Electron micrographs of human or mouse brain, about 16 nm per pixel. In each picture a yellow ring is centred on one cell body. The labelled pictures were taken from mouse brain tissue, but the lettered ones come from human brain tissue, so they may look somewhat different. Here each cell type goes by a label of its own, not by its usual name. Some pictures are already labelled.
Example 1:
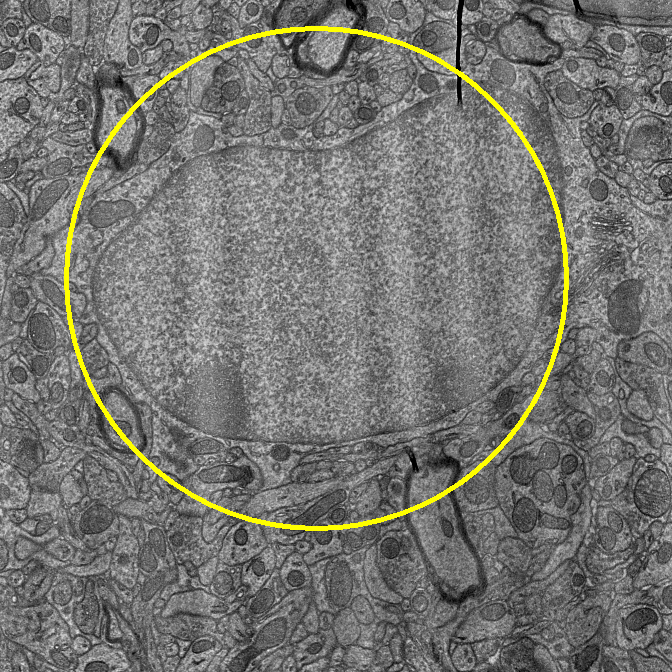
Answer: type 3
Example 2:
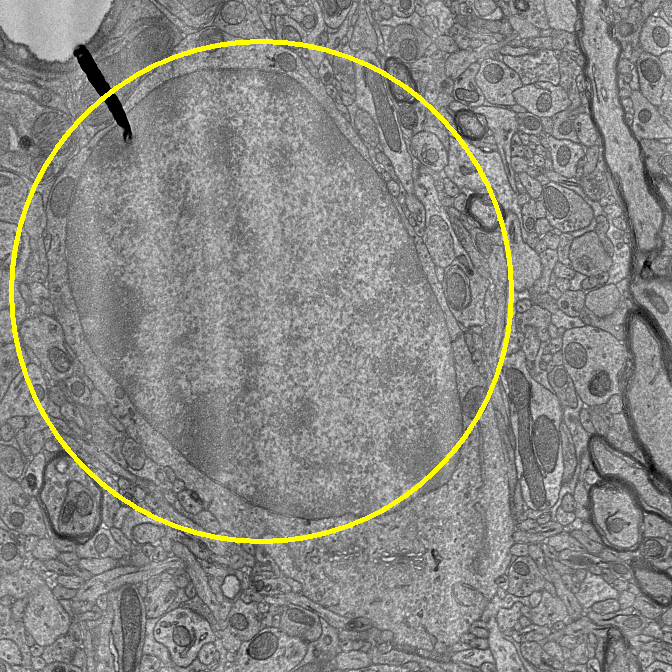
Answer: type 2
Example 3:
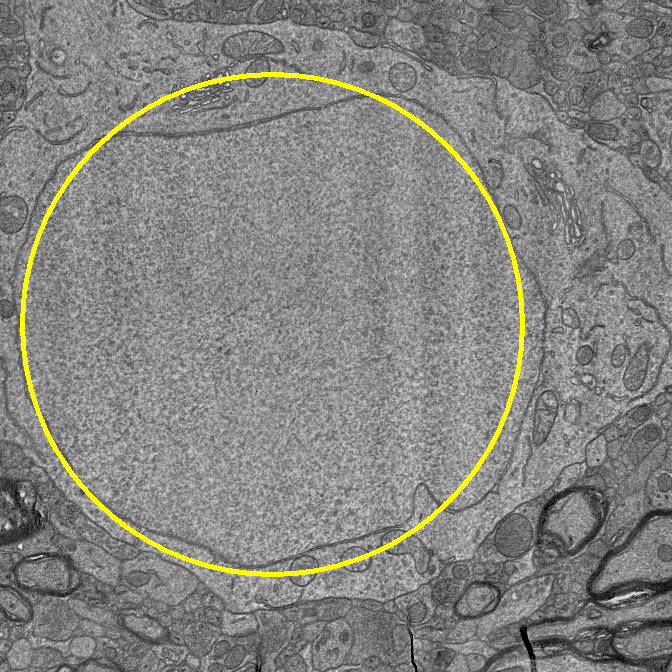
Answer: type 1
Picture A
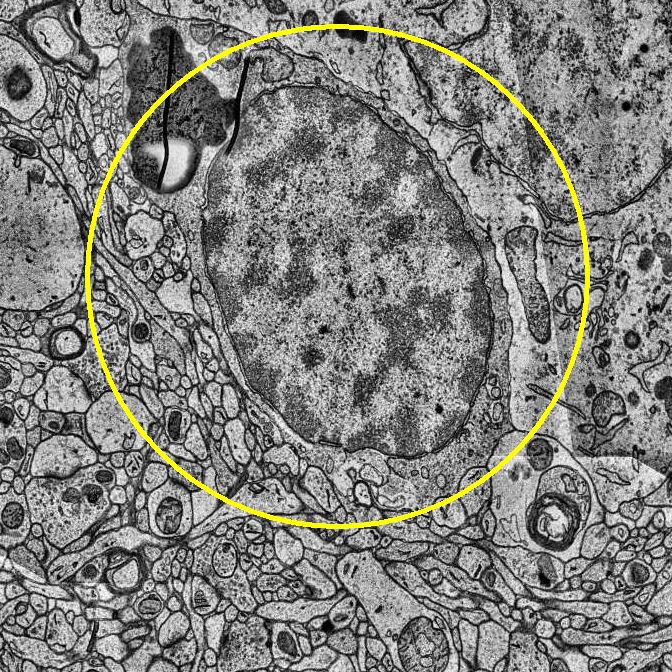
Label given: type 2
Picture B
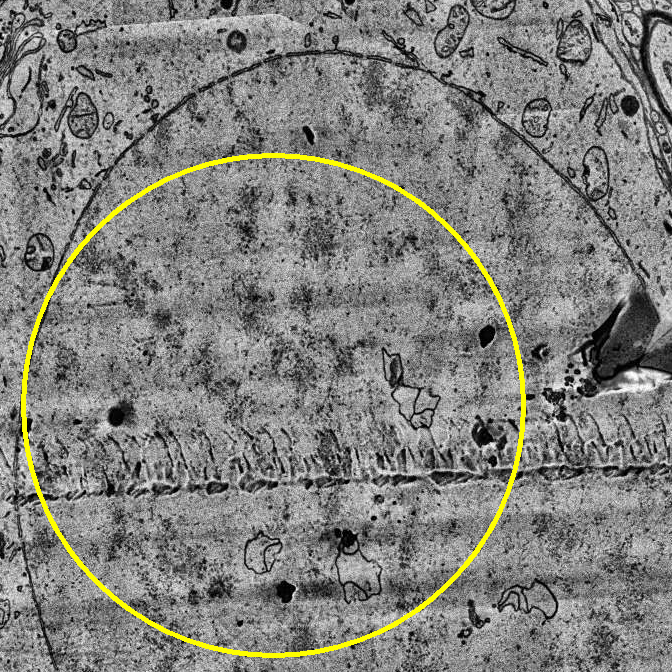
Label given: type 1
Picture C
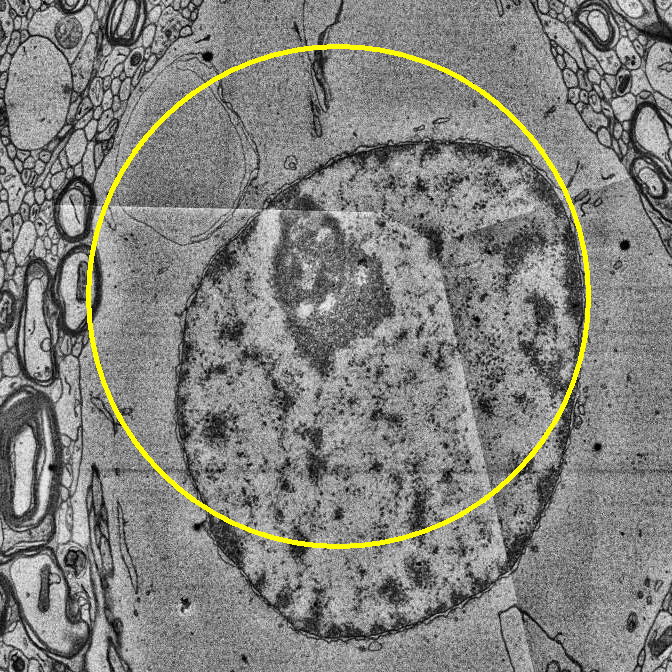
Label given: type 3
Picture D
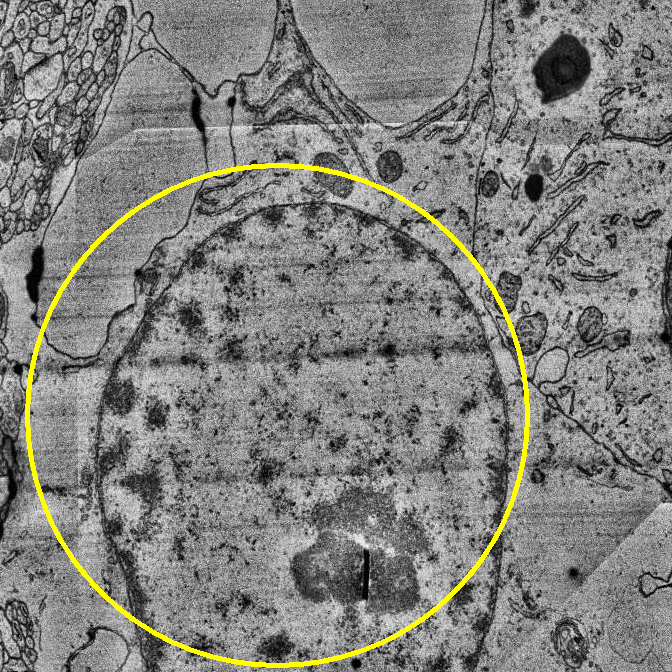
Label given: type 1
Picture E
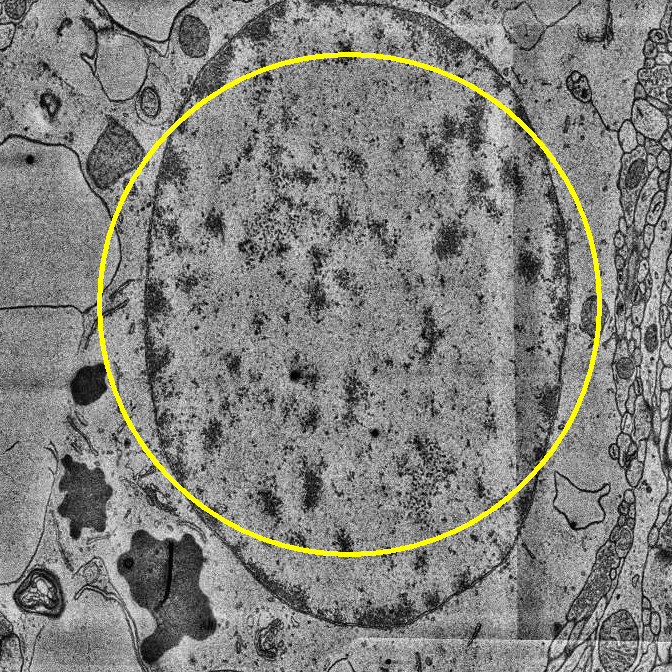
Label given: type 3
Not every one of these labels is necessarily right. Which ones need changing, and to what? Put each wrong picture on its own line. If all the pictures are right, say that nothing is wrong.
D: type 3, not type 1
